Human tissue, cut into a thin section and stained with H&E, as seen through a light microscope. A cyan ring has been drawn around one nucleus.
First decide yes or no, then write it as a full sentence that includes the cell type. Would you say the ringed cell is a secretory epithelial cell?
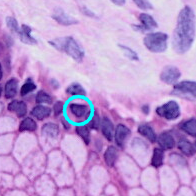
Yes, a secretory epithelial cell is what the ringed cell is in this section.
